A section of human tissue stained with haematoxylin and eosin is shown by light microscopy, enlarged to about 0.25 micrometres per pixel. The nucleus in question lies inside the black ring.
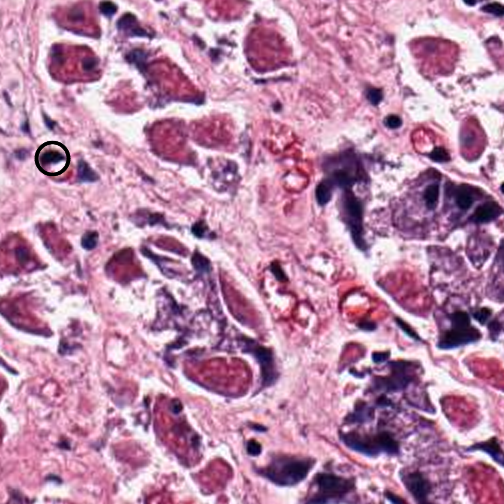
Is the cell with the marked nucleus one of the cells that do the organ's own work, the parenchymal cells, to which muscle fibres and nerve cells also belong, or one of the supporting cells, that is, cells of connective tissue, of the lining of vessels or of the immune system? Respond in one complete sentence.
The marked nucleus is counted as that of a supporting cell.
